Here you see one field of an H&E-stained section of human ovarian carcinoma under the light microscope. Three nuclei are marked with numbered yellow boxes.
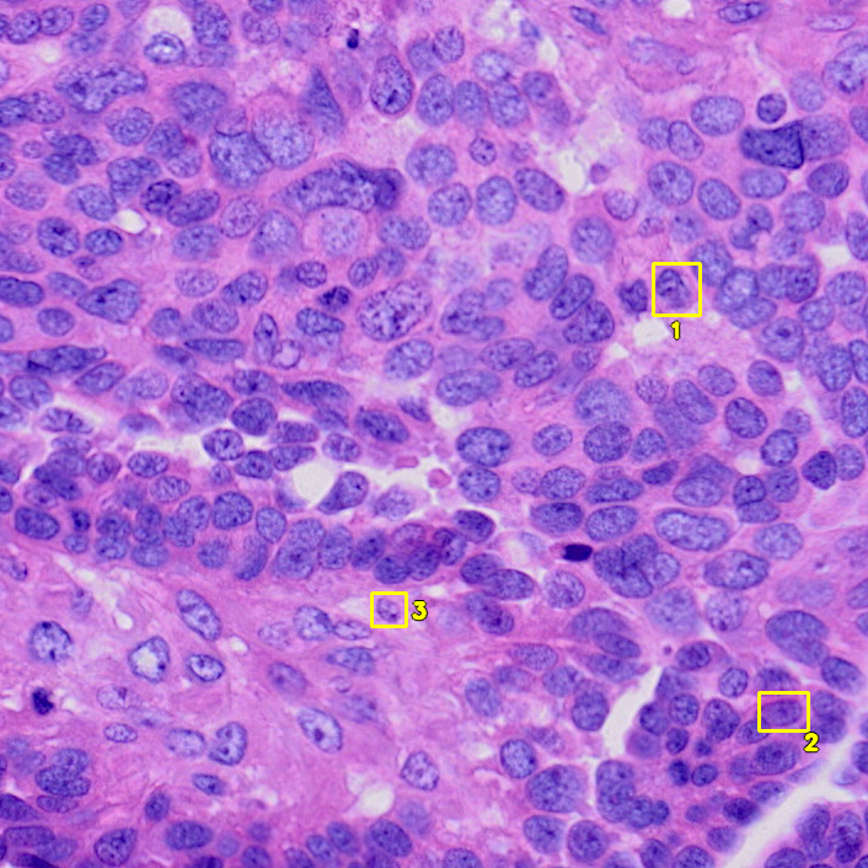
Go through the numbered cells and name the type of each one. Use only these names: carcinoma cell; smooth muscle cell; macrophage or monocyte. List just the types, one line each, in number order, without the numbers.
macrophage or monocyte
carcinoma cell
macrophage or monocyte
